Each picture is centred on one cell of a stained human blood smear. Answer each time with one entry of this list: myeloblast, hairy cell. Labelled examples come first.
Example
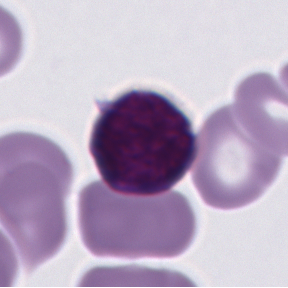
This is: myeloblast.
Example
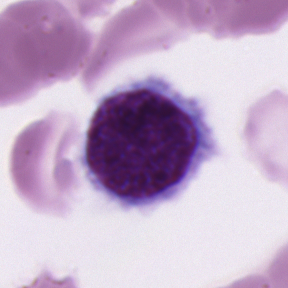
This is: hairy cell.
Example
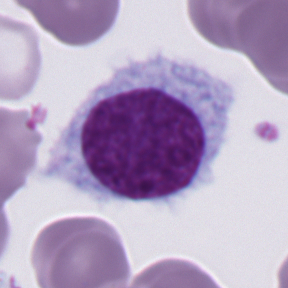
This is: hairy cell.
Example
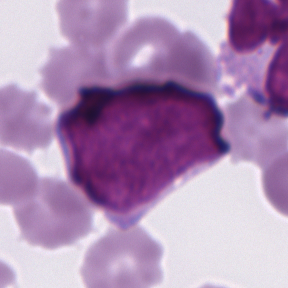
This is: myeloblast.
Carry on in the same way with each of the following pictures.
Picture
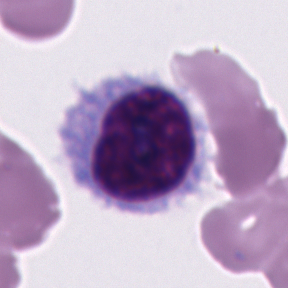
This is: hairy cell.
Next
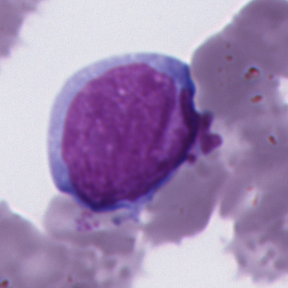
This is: myeloblast.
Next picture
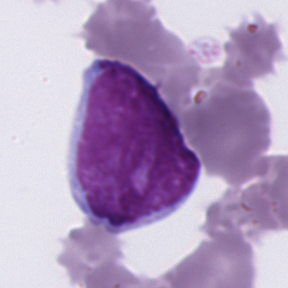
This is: myeloblast.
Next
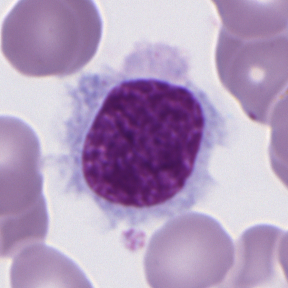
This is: hairy cell.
